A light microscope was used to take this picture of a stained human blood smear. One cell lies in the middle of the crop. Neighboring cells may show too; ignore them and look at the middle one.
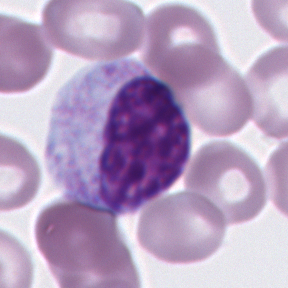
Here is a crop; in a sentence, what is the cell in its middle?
What the crop centres on is a metamyelocyte.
